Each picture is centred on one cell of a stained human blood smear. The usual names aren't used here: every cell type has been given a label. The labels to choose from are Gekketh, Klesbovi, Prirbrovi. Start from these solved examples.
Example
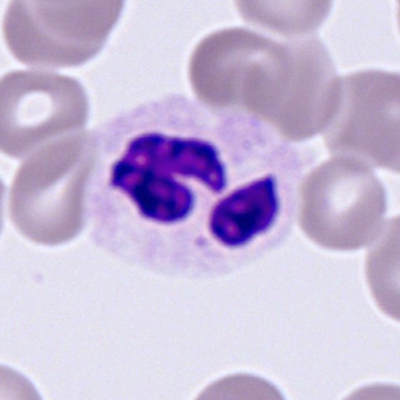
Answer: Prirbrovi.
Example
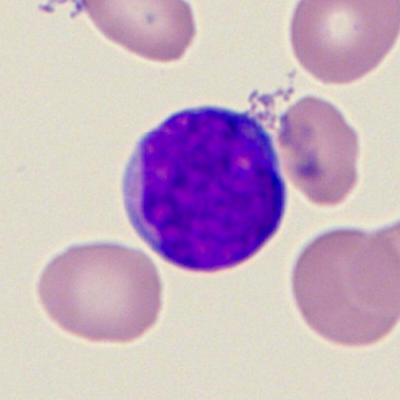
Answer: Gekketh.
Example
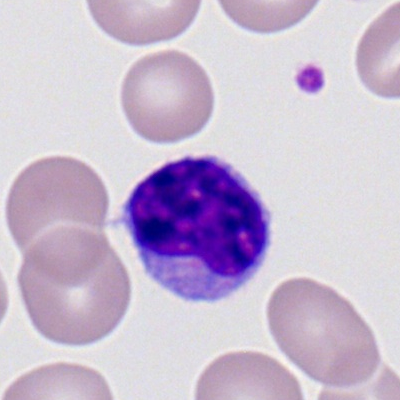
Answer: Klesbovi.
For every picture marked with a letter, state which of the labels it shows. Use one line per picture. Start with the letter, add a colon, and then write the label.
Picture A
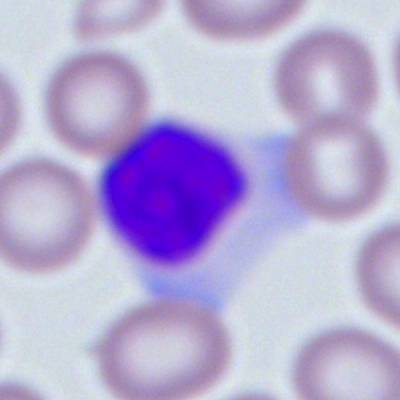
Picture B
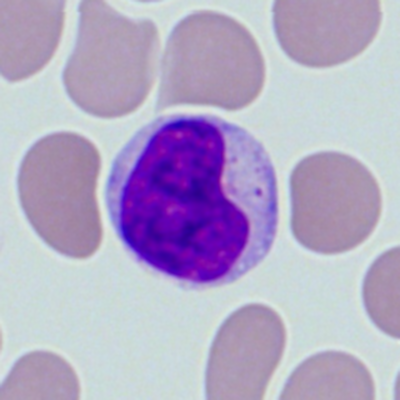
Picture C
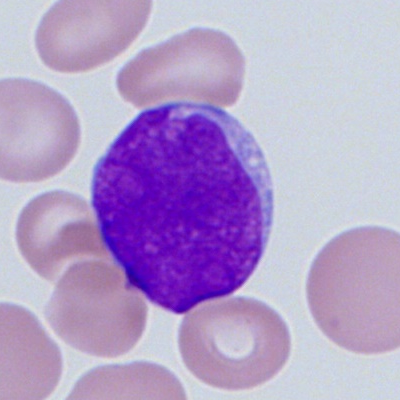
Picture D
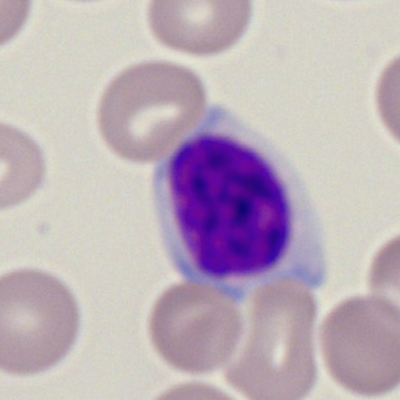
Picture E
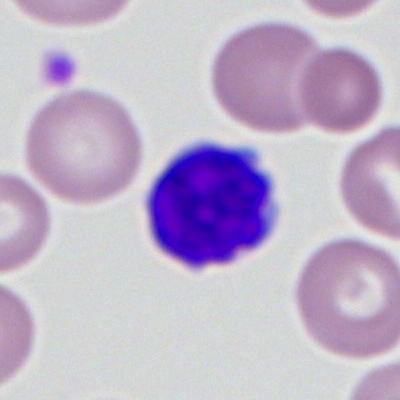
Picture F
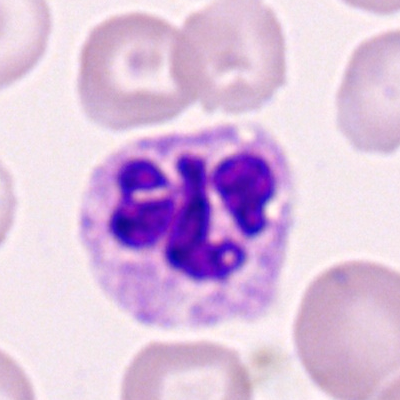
A: Klesbovi.
B: Klesbovi.
C: Gekketh.
D: Klesbovi.
E: Klesbovi.
F: Prirbrovi.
